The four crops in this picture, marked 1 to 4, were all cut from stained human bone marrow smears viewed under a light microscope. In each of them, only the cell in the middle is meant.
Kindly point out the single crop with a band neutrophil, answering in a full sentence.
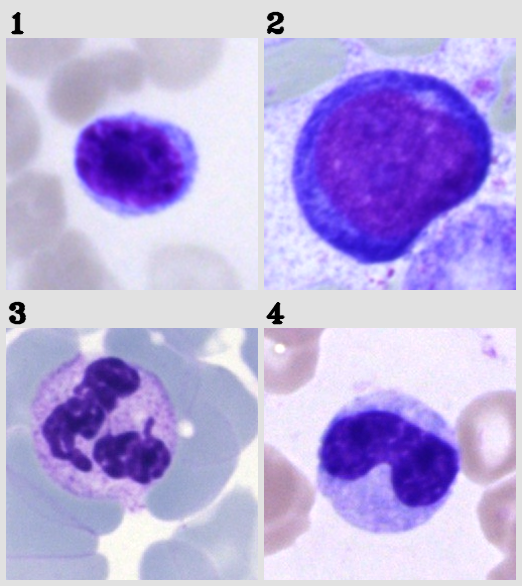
Crop 4 is the crop in which a band neutrophil is shown.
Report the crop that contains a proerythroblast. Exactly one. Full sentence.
Of all the crops, crop 2 is the one showing a proerythroblast.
